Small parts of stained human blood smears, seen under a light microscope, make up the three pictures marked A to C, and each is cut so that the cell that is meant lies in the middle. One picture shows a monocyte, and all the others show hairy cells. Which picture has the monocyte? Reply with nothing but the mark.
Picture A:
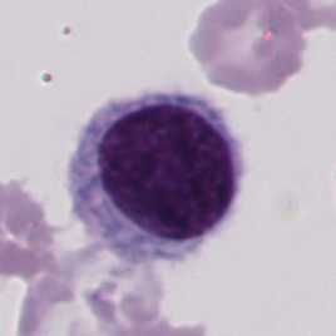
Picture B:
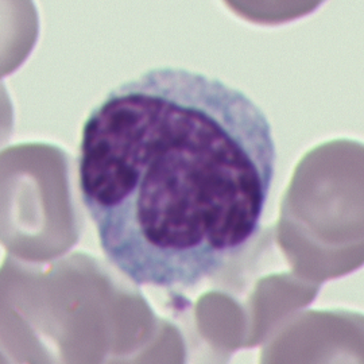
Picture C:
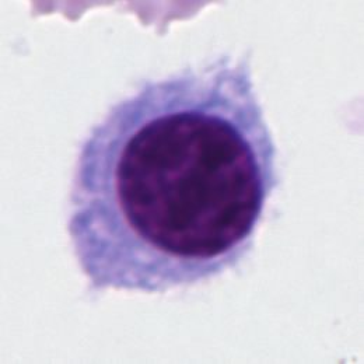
B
